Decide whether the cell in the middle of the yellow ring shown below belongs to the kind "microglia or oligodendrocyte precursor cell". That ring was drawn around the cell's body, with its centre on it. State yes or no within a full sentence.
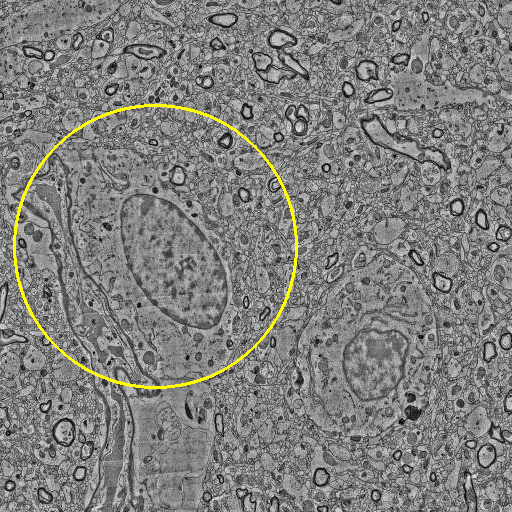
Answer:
Yes, the cell whose body lies at the ring's centre in the picture belongs to that kind.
